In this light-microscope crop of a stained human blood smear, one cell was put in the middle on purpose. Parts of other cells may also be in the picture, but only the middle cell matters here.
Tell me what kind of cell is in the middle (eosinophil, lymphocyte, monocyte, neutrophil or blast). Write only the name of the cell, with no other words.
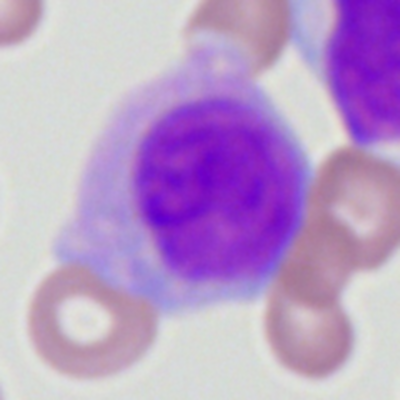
monocyte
